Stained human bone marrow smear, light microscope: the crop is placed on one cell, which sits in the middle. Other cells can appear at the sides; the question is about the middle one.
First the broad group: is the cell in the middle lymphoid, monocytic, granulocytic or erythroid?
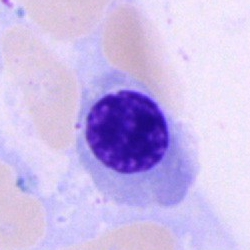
erythroid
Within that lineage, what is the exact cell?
erythroblast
